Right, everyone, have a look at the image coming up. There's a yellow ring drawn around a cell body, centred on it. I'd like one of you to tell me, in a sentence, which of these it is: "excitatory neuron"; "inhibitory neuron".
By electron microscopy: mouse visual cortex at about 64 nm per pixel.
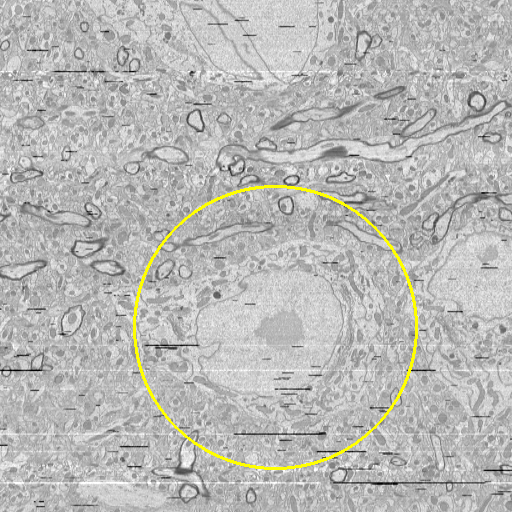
The yellow ring sits on an inhibitory neuron.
